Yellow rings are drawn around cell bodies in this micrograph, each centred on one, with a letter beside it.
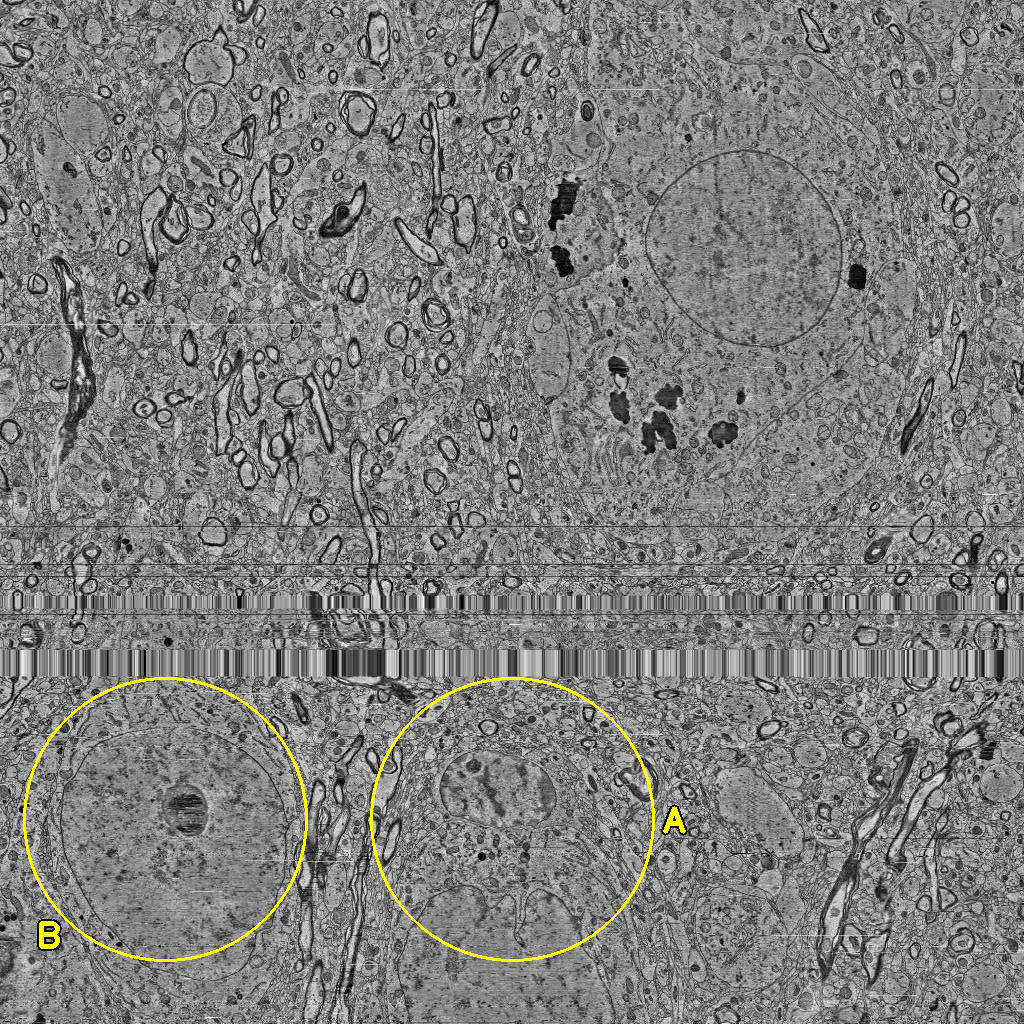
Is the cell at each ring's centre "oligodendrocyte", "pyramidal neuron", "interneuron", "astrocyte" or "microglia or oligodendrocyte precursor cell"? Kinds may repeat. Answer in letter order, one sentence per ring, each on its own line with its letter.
In ring A, the cell at the centre is an oligodendrocyte.
In ring B, the cell at the centre is a pyramidal neuron.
